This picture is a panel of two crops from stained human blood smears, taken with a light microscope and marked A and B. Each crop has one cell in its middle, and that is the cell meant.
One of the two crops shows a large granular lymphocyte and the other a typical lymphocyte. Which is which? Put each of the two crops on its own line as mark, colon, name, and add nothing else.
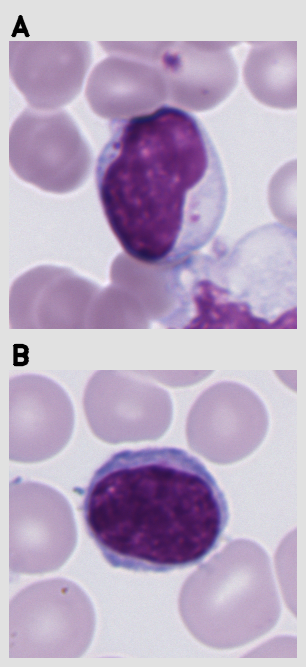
A: large granular lymphocyte
B: typical lymphocyte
